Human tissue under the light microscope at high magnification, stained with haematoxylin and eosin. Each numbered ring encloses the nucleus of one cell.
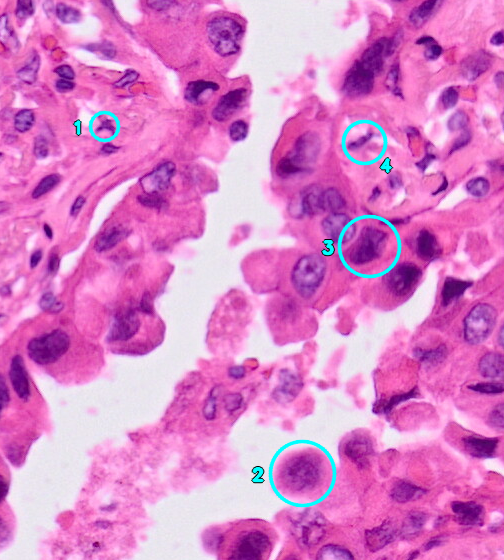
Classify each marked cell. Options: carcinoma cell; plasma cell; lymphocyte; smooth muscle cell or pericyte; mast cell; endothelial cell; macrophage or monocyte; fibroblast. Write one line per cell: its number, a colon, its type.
1: fibroblast
2: carcinoma cell
3: carcinoma cell
4: fibroblast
